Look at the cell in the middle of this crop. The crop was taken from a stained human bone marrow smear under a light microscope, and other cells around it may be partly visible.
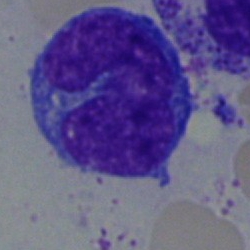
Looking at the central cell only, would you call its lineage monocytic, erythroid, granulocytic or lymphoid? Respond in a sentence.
From the monocytic lineage comes the cell in the middle of the crop.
